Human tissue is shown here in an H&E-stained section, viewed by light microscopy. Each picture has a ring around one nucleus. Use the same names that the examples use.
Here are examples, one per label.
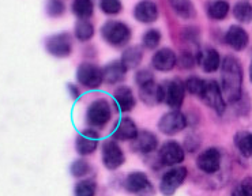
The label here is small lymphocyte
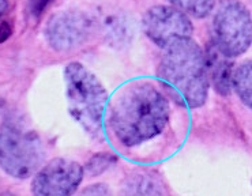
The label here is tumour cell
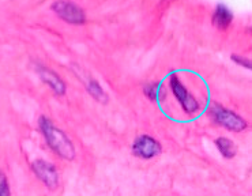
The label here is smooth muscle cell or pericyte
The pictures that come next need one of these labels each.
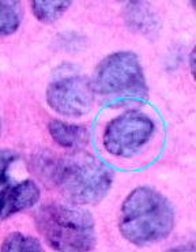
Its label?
tumour cell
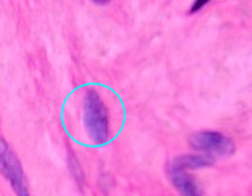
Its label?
smooth muscle cell or pericyte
